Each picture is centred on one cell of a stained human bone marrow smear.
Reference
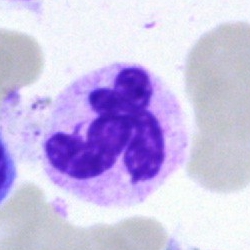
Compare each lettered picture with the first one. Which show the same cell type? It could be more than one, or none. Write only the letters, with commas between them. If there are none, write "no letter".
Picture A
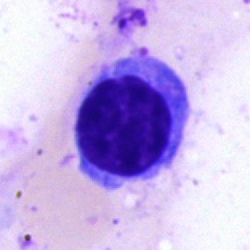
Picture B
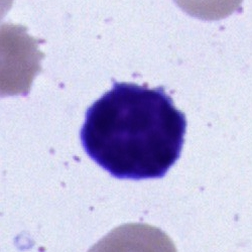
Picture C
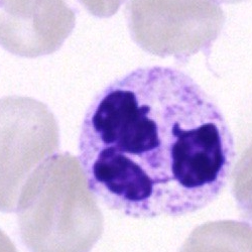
C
